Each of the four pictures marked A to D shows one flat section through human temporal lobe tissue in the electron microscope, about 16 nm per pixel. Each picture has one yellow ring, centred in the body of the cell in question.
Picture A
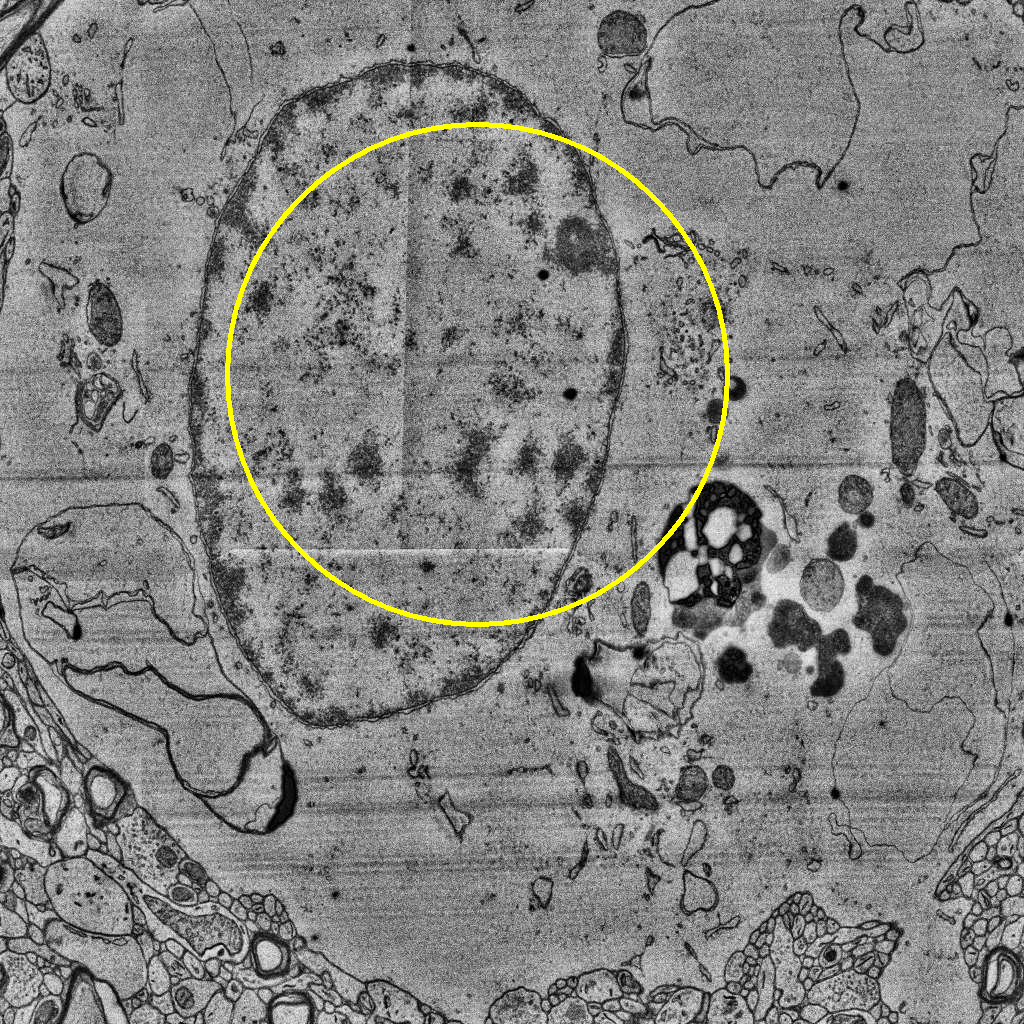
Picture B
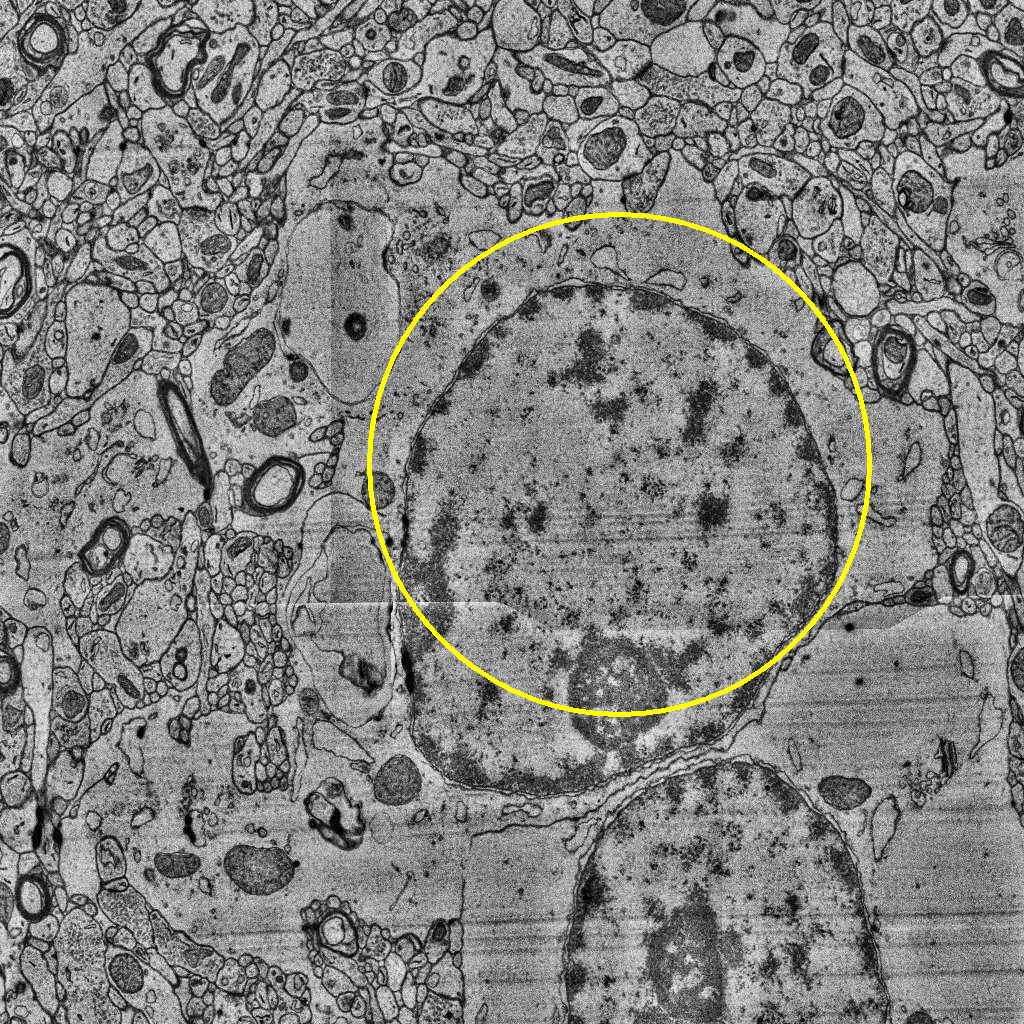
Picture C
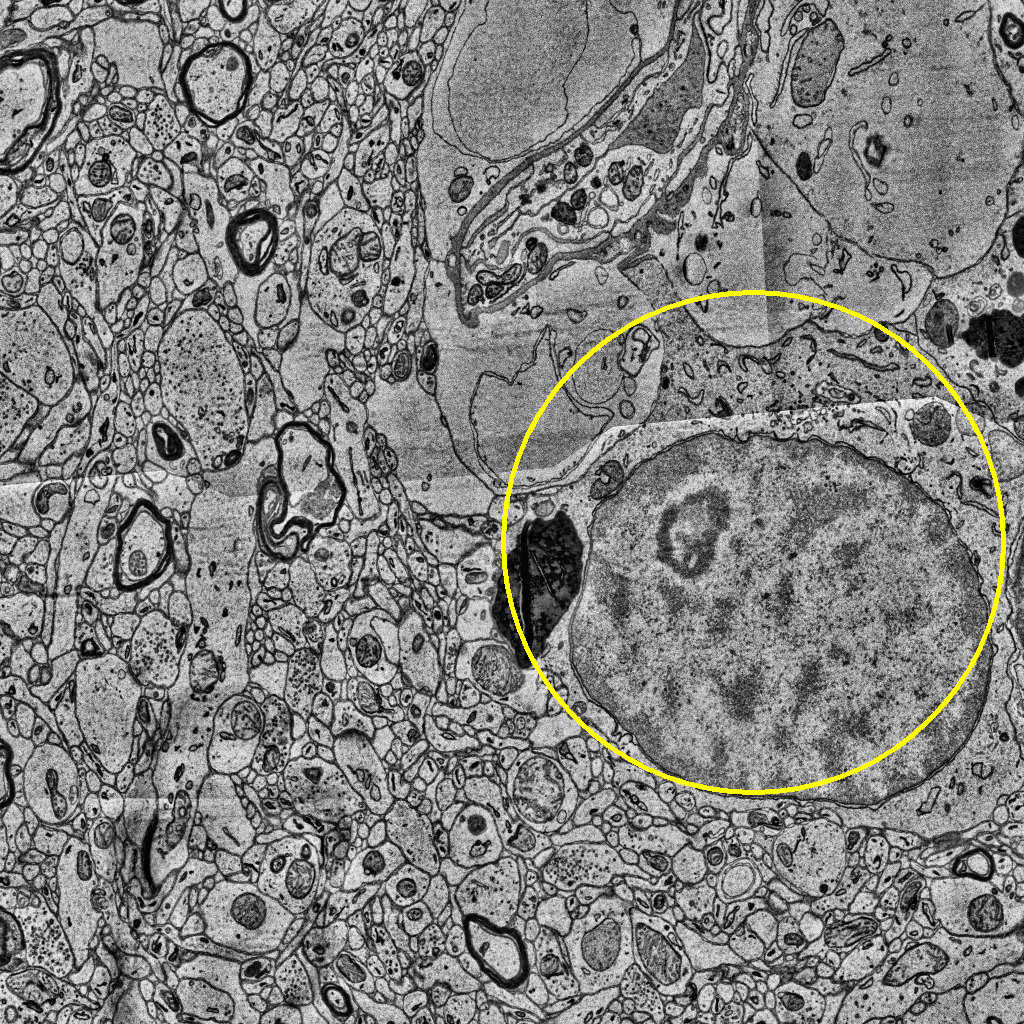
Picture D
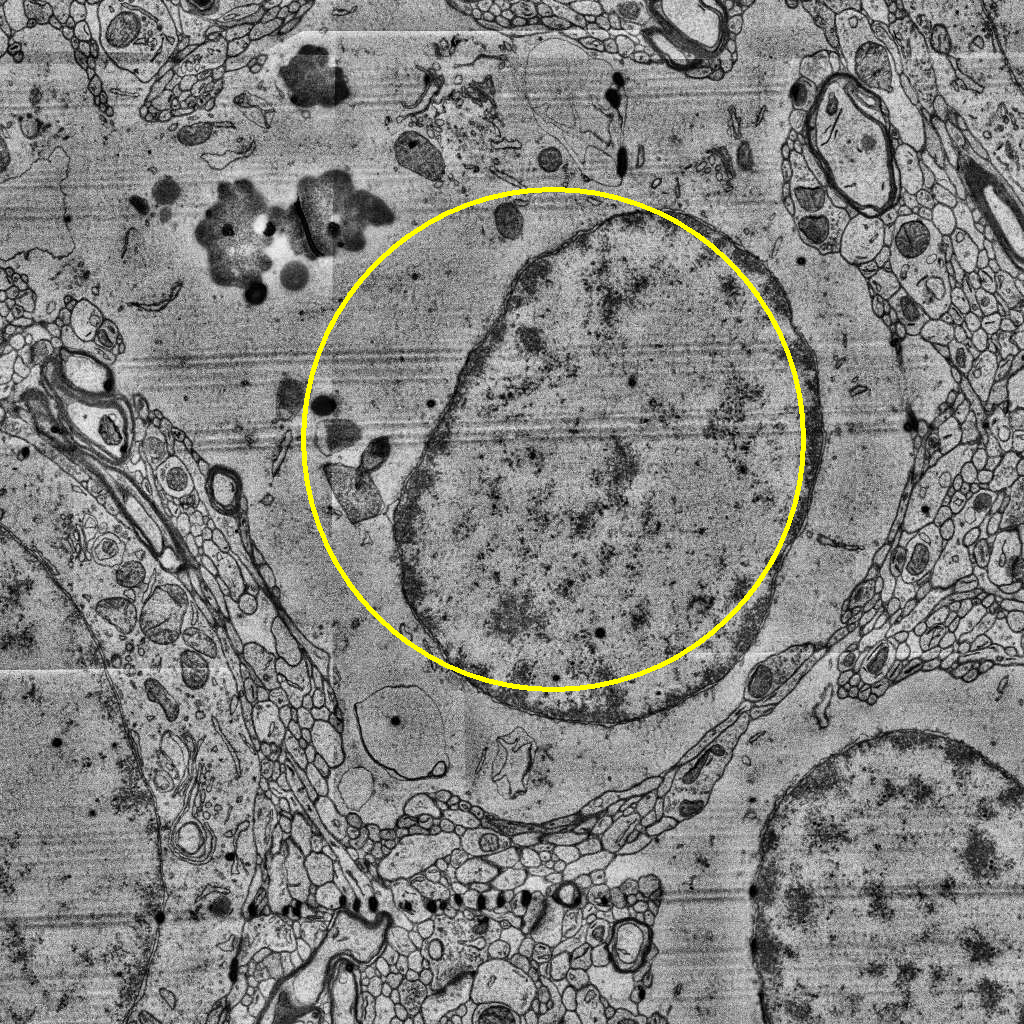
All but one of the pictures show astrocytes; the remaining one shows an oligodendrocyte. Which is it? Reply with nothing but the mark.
C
